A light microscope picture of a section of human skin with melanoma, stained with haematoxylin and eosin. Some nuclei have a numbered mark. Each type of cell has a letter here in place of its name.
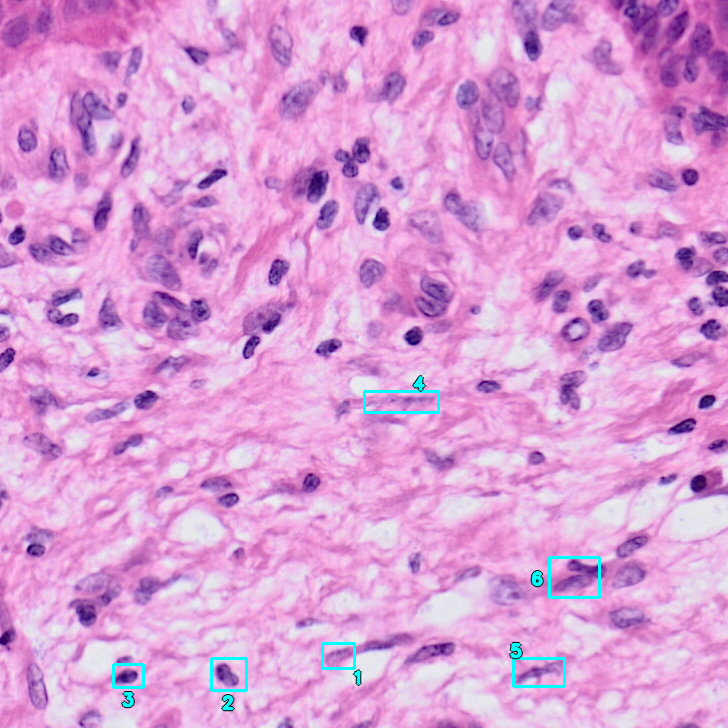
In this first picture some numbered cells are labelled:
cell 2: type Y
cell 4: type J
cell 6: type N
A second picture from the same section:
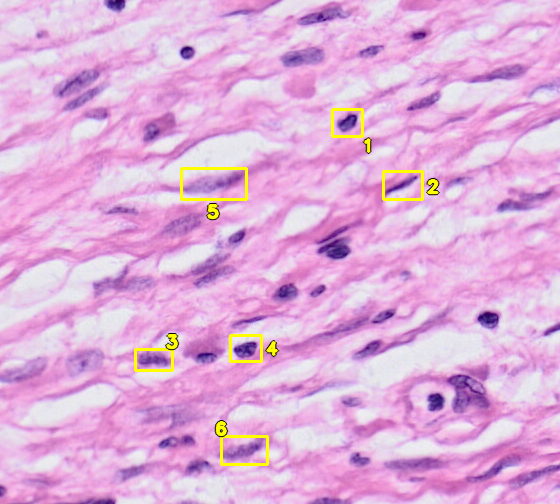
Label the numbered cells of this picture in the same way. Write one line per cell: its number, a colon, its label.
1: type Y
2: type J
3: type N
4: type Y
5: type J
6: type J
